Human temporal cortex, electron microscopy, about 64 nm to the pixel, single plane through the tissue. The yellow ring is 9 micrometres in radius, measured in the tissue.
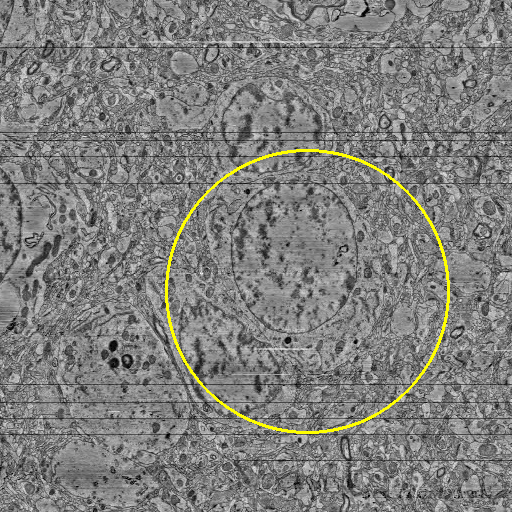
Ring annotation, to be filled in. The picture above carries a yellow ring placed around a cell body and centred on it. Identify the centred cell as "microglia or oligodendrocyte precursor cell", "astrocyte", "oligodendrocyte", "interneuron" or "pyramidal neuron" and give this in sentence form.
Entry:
The cell in the middle of the ring is a pyramidal neuron.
